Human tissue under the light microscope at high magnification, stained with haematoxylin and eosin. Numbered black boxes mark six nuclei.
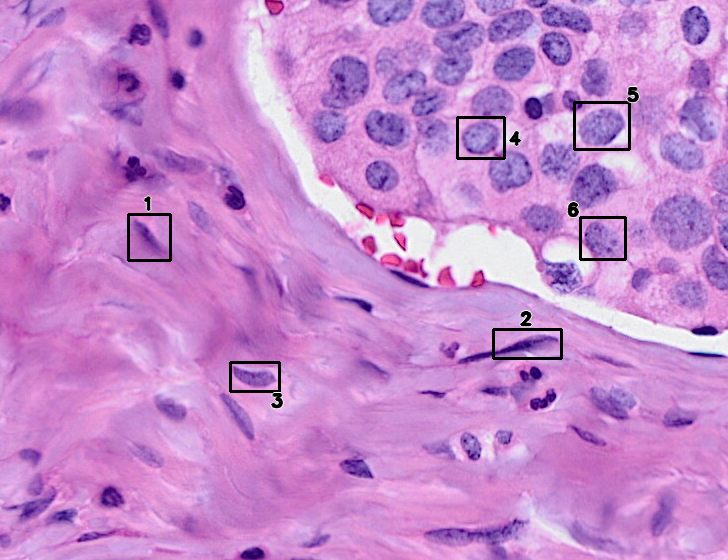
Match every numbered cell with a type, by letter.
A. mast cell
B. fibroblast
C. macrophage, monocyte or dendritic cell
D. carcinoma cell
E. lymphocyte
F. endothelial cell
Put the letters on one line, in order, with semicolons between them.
B; B; B; D; D; D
